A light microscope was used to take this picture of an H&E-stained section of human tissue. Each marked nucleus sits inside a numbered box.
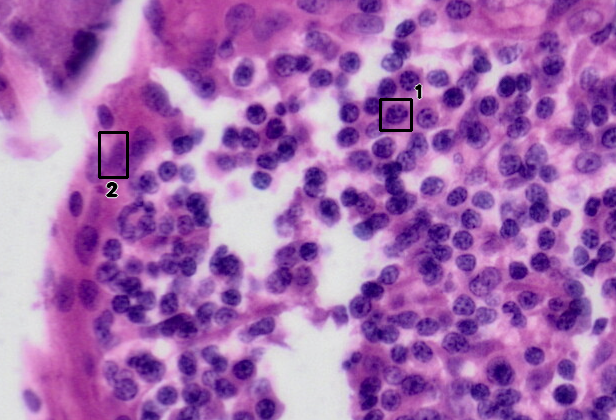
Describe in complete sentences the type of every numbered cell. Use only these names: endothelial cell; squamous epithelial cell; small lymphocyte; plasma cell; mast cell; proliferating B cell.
Cell 1 is a plasma cell. Cell 2 is a squamous epithelial cell.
